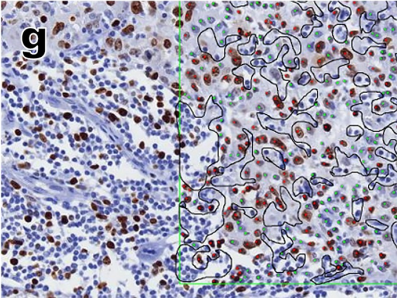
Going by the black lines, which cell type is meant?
Tumor cells.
